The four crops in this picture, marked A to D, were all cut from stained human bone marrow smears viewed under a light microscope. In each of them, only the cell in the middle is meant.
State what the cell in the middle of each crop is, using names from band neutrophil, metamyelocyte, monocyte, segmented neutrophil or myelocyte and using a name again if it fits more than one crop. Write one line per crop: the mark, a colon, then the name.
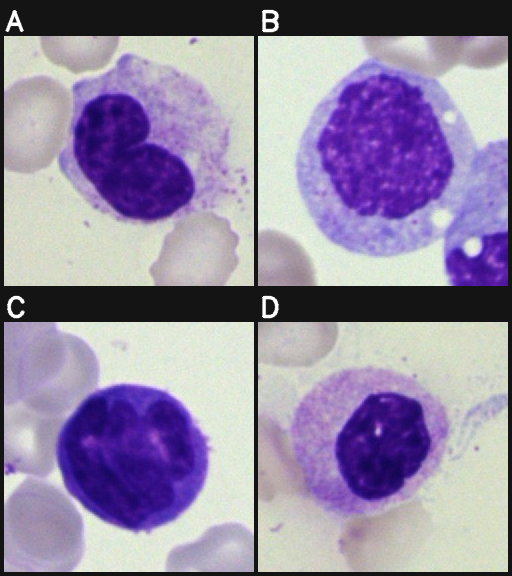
A: band neutrophil
B: myelocyte
C: monocyte
D: band neutrophil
